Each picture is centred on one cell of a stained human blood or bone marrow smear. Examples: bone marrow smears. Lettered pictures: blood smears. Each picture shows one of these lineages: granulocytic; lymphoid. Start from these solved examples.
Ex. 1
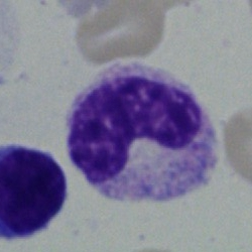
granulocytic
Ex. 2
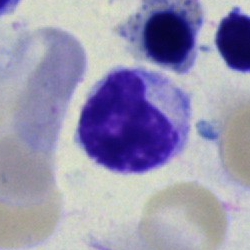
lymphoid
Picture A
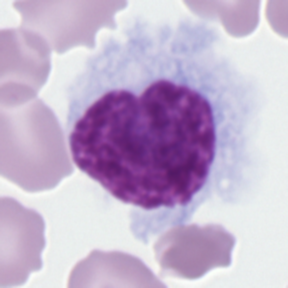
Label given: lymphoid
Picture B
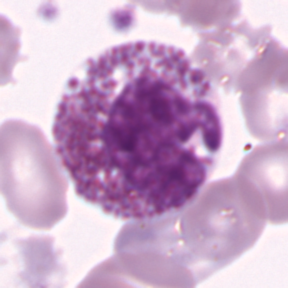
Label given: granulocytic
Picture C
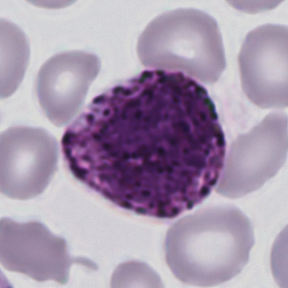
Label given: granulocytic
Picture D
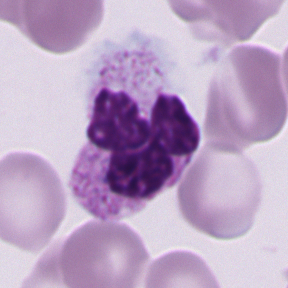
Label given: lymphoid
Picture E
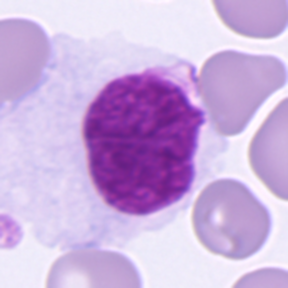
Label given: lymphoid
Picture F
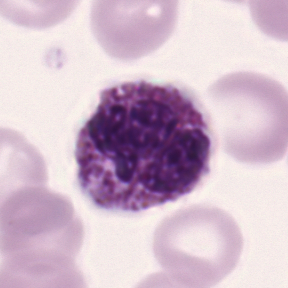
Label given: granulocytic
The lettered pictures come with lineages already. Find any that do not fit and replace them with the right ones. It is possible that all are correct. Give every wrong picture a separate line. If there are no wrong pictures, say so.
D: granulocytic, not lymphoid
